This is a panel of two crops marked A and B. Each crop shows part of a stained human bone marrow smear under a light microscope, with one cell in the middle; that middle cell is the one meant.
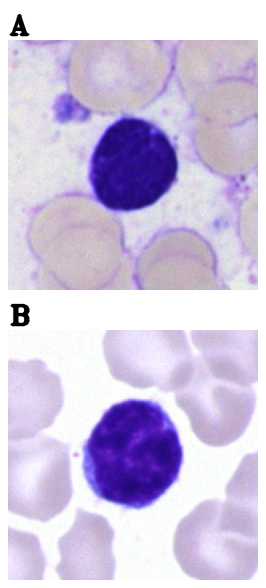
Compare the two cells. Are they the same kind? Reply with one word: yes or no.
yes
